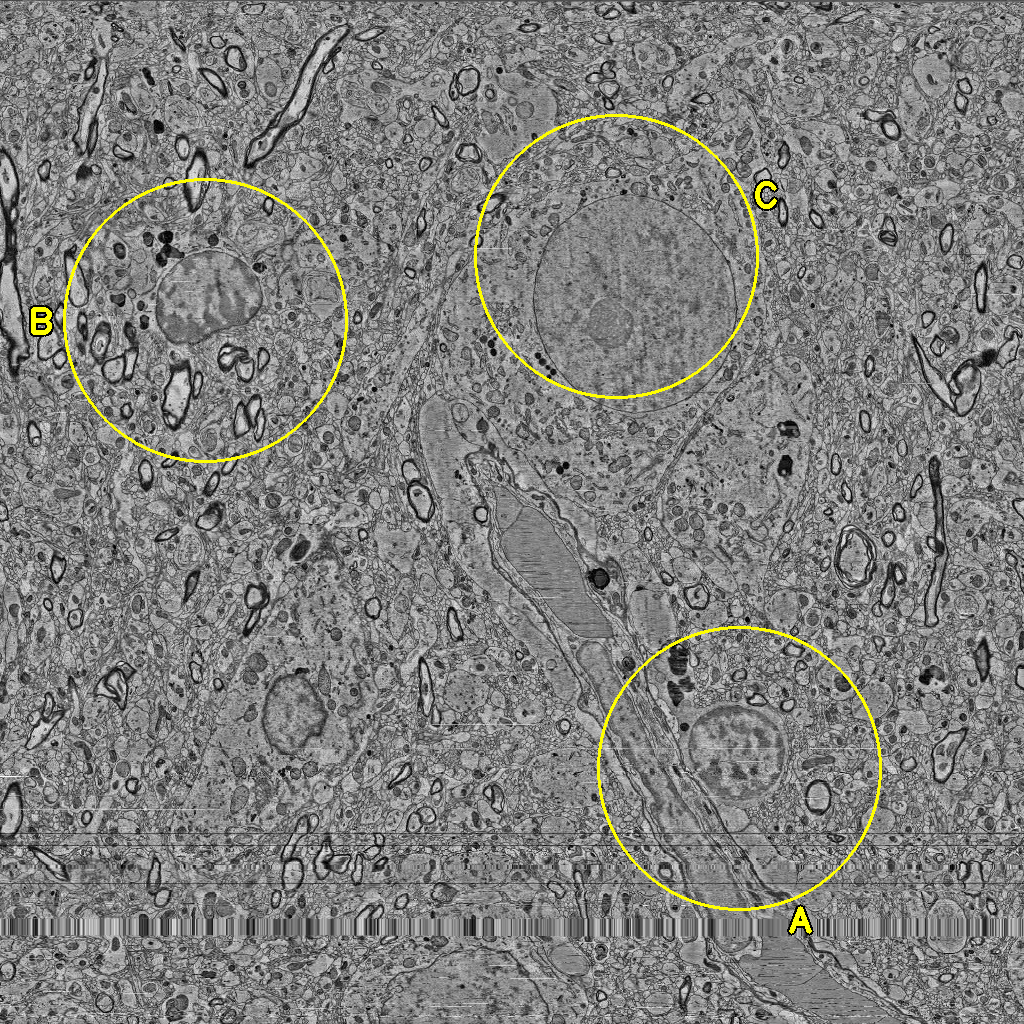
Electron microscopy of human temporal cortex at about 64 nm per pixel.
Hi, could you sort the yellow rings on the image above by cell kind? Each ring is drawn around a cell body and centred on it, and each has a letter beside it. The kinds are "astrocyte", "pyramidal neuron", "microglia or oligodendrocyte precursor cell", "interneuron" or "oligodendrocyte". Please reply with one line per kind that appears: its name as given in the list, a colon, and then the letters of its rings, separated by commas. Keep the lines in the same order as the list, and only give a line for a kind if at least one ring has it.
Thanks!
microglia or oligodendrocyte precursor cell: B
interneuron: C
oligodendrocyte: A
